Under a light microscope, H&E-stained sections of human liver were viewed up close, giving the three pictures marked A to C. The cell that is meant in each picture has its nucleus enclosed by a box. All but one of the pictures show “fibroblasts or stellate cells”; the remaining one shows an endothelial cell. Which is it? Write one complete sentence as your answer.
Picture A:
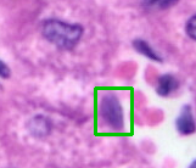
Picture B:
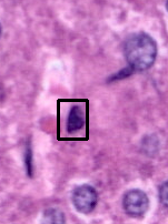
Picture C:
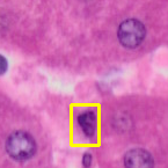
It is picture A that shows the endothelial cell.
